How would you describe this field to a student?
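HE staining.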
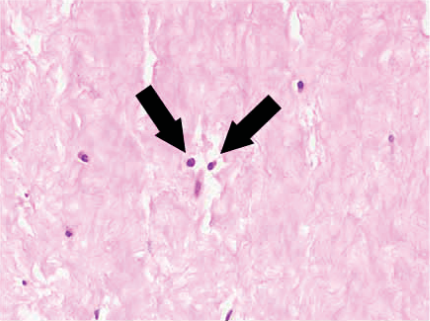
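This is dense collagen tissue, stained pale pink, in which only a few cells are scattered. At the center, two small cells with round, dark purple nuclei and scant cytoplasm are chronic inflammatory cells, lying in a slit-like space among the wavy fibers.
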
